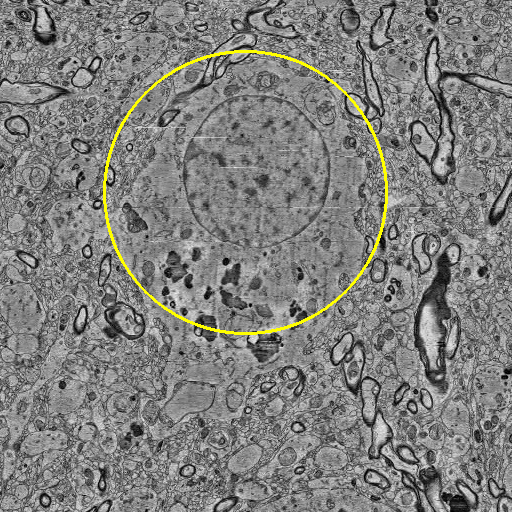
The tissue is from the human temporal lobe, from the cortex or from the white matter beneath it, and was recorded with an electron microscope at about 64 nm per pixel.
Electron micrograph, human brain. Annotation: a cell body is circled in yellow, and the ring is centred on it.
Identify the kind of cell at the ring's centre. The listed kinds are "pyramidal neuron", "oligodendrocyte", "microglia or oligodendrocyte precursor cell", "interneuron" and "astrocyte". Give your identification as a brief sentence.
The circled cell body is that of an astrocyte.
